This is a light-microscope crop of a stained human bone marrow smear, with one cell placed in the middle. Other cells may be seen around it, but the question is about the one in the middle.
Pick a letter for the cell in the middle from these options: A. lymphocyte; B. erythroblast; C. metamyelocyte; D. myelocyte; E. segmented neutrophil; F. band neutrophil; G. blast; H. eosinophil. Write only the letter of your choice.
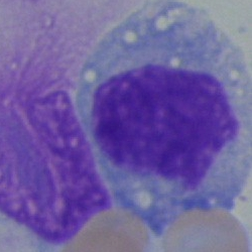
G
